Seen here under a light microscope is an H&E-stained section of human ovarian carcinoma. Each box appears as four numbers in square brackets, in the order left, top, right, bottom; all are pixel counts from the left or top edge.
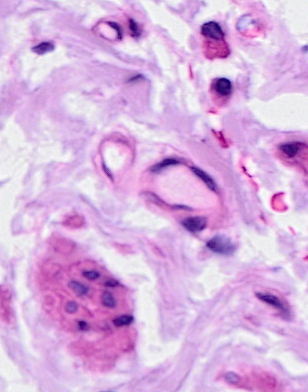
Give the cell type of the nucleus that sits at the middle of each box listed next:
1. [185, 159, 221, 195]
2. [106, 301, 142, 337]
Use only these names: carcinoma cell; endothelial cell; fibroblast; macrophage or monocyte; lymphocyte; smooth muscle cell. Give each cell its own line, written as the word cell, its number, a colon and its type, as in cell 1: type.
cell 1: endothelial cell
cell 2: smooth muscle cell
